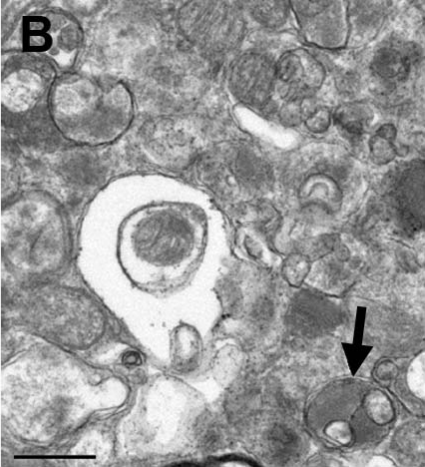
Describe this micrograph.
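At higher magnification this micrograph shows many autophagic vacuoles of varied shapes and sizes, some cup-shaped and some enclosing other membranous material. Many are bounded by double membranes, and one in the lower right holds heterogeneous contents with pale spaces. Mitochondria with cristae lie among them. A large clear space in the centre surrounds a round, membrane-enclosed body.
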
